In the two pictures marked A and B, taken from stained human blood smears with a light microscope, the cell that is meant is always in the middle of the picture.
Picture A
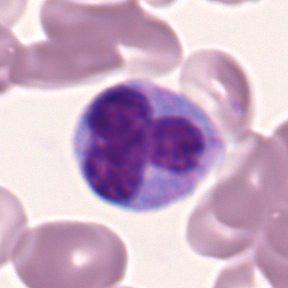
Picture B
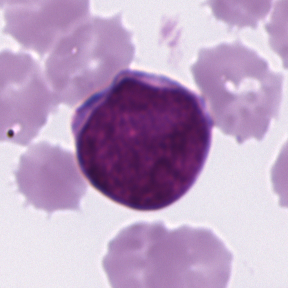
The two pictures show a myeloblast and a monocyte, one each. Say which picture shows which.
A: monocyte
B: myeloblast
